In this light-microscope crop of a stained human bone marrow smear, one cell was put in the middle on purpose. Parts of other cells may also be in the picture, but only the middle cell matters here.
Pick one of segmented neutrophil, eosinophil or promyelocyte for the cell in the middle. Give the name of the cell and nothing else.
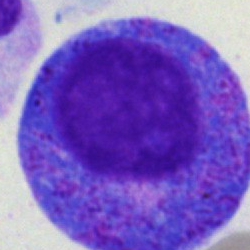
promyelocyte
